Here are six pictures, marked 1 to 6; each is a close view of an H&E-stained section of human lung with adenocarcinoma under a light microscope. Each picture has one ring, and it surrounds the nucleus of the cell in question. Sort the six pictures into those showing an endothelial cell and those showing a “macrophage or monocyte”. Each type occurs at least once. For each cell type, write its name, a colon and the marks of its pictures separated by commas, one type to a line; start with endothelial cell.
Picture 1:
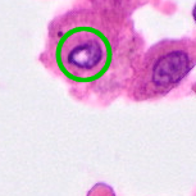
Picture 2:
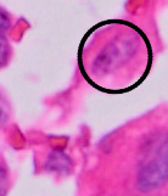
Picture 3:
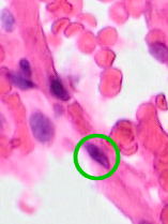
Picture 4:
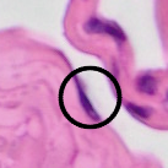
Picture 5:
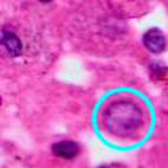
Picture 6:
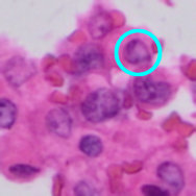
endothelial cell: 3, 4
macrophage or monocyte: 1, 2, 5, 6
